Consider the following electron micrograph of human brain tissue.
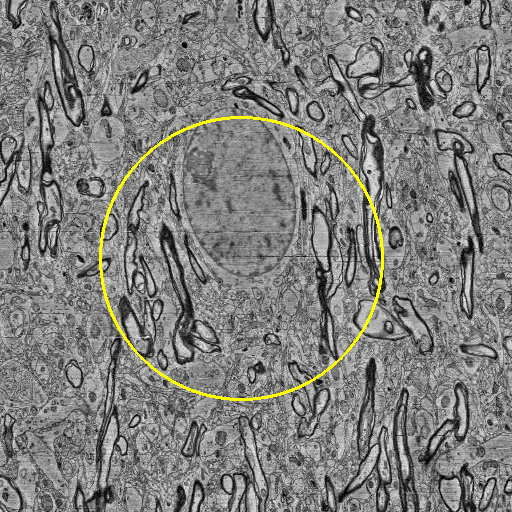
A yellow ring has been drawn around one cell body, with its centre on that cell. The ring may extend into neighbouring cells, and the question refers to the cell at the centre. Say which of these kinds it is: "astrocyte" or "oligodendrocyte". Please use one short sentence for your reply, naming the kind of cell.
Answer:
The centre of the ring falls on an astrocyte.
